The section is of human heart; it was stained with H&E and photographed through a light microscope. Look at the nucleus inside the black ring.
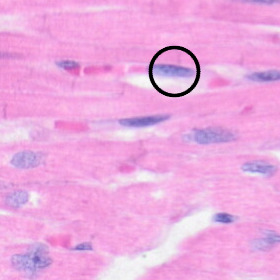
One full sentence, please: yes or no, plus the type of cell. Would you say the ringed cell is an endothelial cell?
Yes, to put it simply, the ringed cell is an endothelial cell.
